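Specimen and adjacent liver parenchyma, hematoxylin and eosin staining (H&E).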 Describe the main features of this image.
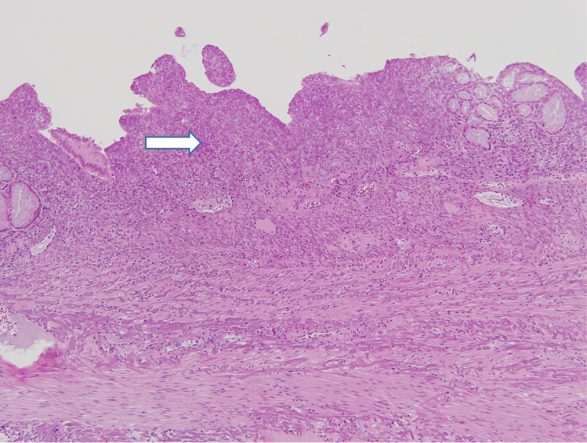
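This gall bladder wall has a damaged mucosa. A few scattered glands and small vessels remain within it. The deeper wall consists of layered pink fibrous and muscular tissue with elongated nuclei.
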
